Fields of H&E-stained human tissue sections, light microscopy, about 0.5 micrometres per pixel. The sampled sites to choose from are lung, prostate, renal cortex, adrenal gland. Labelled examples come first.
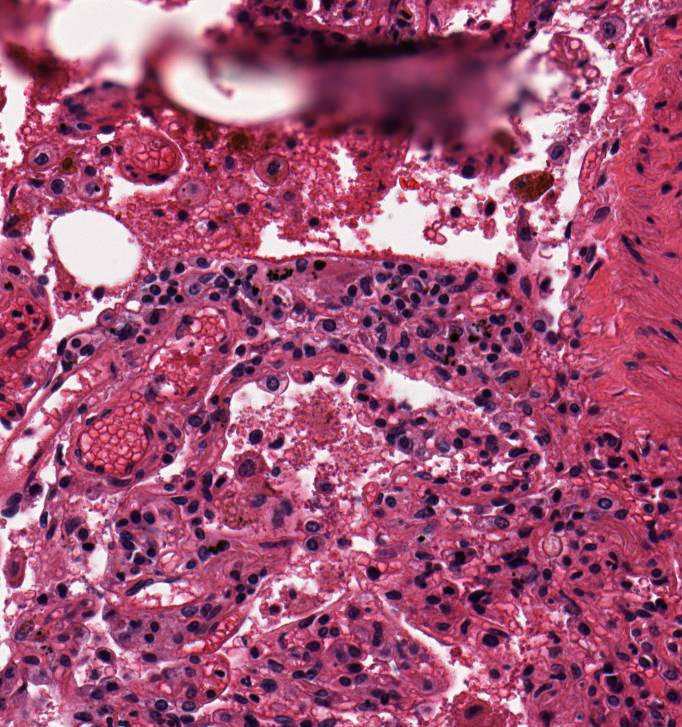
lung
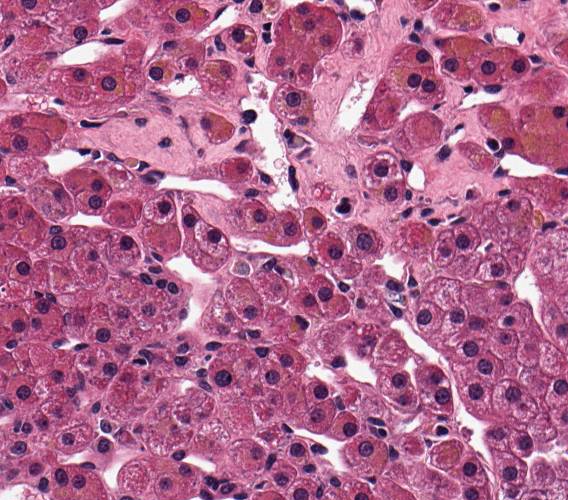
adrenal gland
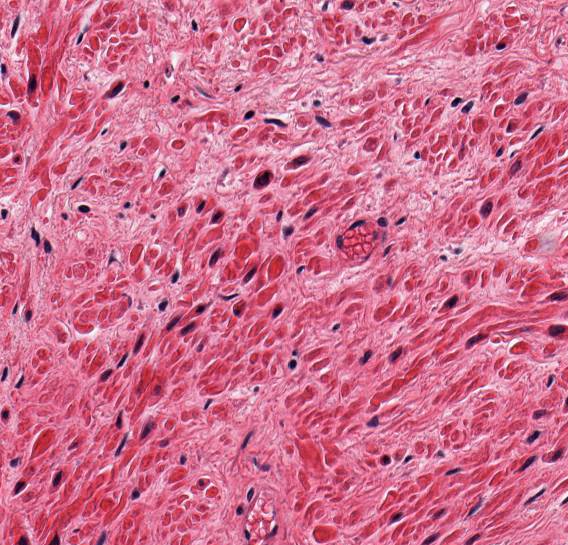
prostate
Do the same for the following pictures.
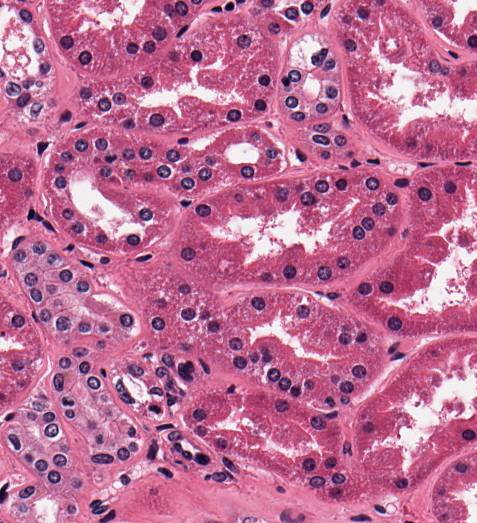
renal cortex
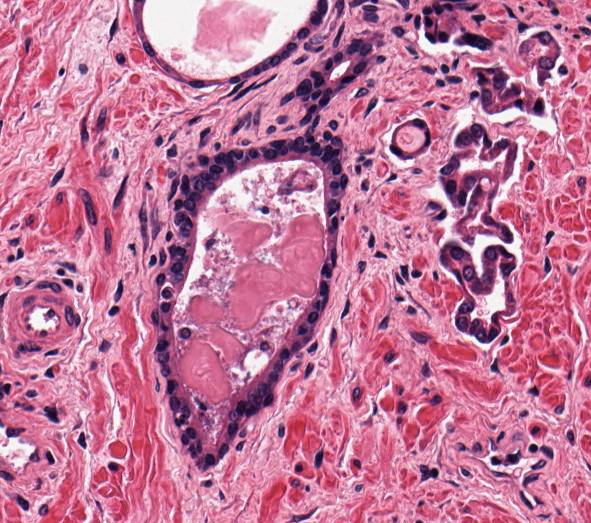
prostate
